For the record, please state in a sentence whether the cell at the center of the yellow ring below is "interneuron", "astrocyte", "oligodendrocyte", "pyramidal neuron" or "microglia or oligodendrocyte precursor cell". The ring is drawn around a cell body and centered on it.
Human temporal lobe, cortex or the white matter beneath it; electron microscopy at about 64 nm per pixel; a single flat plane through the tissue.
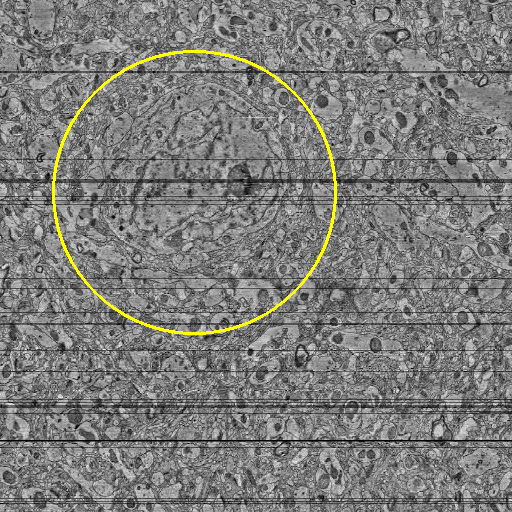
The cell at the ring's center is an interneuron.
